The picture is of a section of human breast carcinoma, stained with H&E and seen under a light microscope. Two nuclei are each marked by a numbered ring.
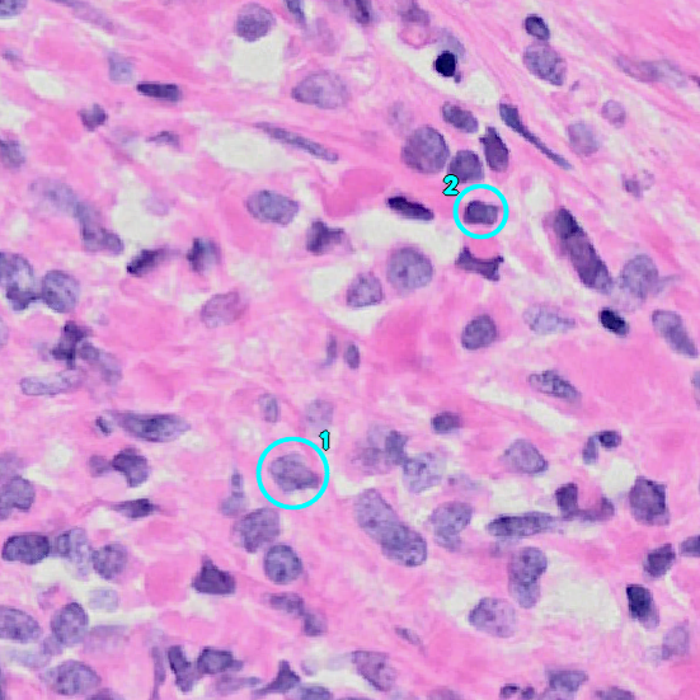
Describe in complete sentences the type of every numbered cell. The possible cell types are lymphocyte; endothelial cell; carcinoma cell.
Cell 1 is a carcinoma cell and cell 2 is a lymphocyte.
